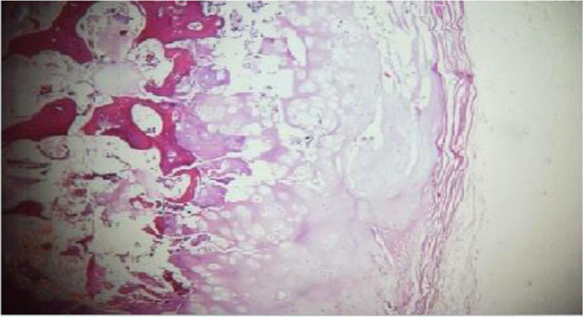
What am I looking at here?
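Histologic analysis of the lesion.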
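On the left, deep red trabeculae of bone form an irregular network with clear spaces between them. These merge into pale lilac cartilage with small cells in lacunae, which passes toward a thin fibrous layer at the right edge. This is cartilage turning into bone, an ossification center beneath a cartilaginous cap.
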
